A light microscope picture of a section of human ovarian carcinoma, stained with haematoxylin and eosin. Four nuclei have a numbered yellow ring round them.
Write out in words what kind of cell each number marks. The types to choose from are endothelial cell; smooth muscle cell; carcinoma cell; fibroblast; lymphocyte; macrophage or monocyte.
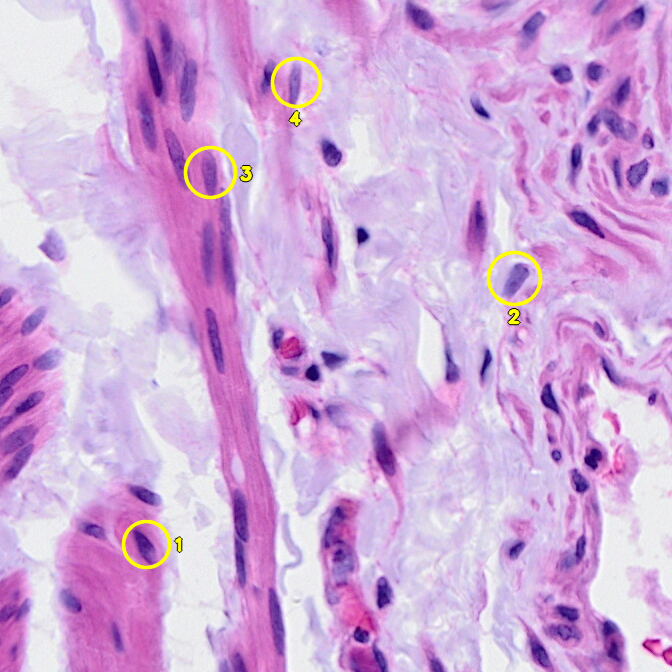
Cells 1, 3 and 4 are smooth muscle cells. Cell 2 is a fibroblast.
